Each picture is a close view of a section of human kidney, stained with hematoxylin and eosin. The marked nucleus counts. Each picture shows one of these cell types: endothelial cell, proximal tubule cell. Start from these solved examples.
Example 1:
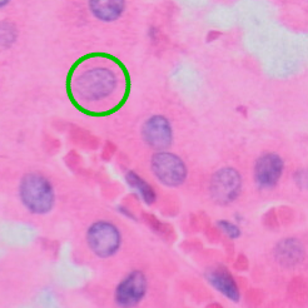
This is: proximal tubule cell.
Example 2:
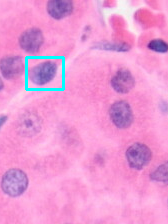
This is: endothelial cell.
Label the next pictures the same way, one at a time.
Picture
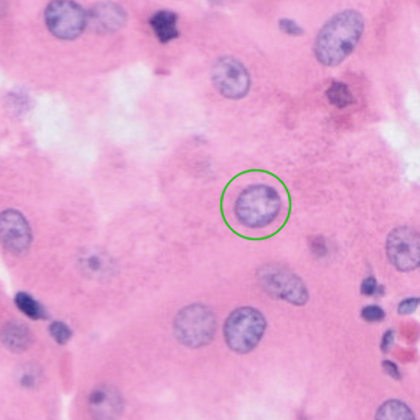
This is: proximal tubule cell.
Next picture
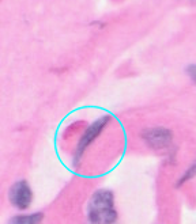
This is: endothelial cell.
